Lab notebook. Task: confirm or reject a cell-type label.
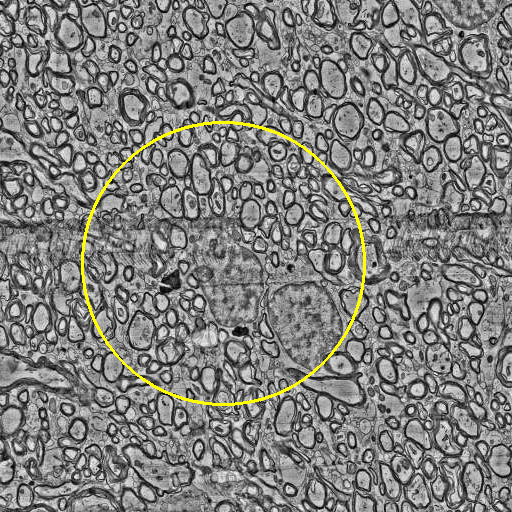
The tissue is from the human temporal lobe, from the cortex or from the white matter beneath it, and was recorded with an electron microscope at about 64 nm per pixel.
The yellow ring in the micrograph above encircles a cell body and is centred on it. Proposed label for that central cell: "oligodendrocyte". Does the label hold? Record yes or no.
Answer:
yes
